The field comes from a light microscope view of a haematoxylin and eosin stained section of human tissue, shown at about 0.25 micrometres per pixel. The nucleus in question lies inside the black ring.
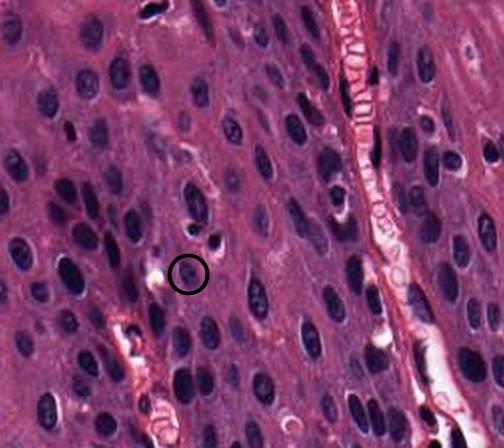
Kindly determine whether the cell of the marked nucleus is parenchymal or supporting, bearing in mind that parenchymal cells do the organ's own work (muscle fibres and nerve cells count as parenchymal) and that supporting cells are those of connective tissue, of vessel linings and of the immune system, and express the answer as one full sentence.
The marked nucleus is identified as that of a parenchymal cell, namely a squamous epithelial cell.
